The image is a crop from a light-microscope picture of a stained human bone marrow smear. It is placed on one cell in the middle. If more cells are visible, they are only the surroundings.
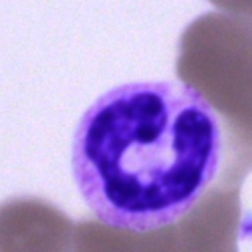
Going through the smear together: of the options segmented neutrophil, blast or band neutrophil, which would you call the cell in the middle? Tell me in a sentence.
What the crop centres on is a segmented neutrophil.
